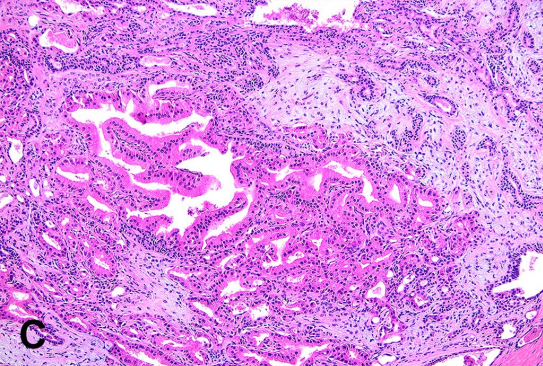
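Here glands are lined by brightly eosinophilic cells with abundant pink cytoplasm, the picture of apocrine metaplasia. The glands are set in a cellular stroma with spindle cells around them.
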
